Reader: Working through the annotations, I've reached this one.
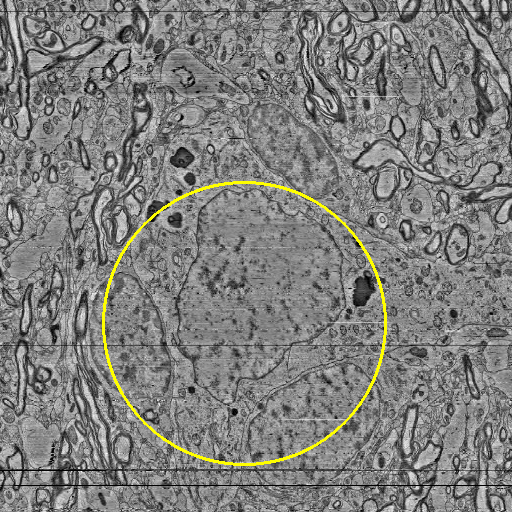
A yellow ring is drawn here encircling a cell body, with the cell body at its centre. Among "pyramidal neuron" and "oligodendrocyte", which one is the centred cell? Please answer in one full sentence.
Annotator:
The cell body at the centre of the yellow ring in this image belongs to a pyramidal neuron.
